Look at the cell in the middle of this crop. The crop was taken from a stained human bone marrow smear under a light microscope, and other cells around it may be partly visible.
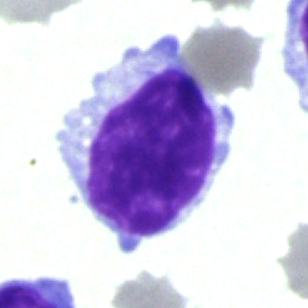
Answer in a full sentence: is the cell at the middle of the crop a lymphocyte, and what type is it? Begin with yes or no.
Yes, this is a lymphocyte, the cell in the middle of the crop.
